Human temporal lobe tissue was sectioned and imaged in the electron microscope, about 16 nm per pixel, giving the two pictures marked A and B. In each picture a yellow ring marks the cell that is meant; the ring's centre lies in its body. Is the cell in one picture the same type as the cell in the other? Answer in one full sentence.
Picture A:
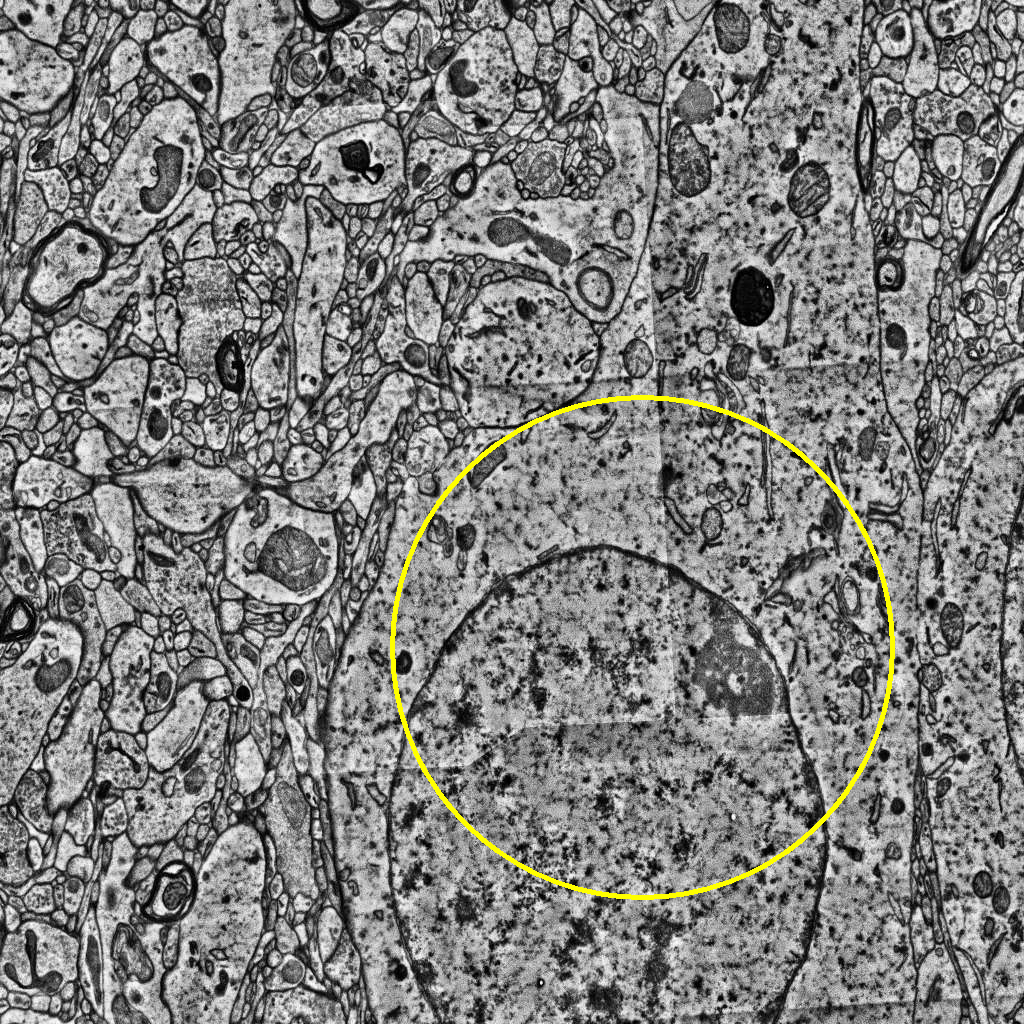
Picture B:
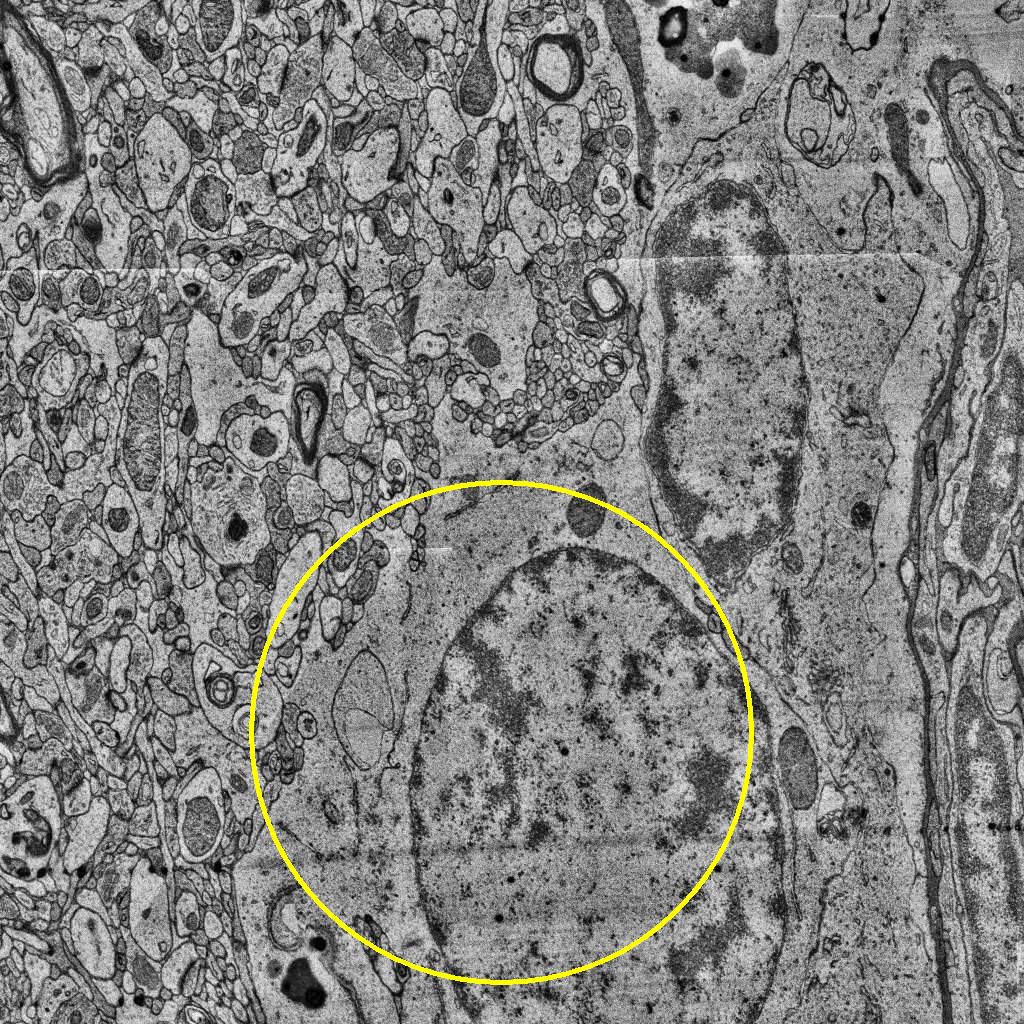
No, picture A shows a pyramidal neuron and picture B shows an astrocyte.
